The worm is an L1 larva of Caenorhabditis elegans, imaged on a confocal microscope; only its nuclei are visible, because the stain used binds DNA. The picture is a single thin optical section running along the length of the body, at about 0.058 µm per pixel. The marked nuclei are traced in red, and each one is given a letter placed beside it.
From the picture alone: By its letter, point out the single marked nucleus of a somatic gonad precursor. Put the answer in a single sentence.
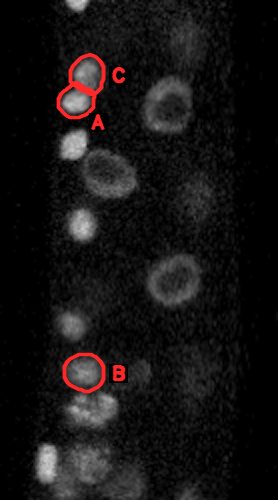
It is B that belongs to a somatic gonad precursor.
